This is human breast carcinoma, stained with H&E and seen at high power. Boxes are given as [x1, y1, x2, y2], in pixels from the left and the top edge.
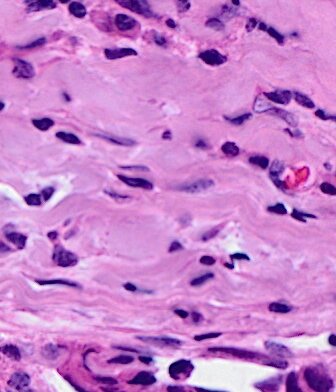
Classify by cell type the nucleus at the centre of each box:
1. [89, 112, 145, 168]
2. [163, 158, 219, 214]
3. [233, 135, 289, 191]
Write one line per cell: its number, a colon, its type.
1: fibroblast
2: fibroblast
3: lymphocyte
